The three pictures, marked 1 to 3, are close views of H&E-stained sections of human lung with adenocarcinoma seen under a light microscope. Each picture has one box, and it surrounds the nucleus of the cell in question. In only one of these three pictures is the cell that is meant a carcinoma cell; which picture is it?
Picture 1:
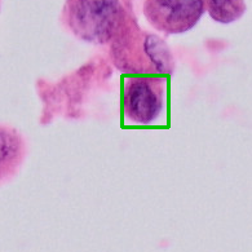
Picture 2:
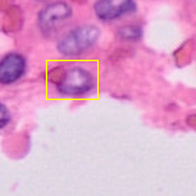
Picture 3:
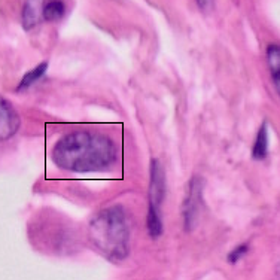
3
